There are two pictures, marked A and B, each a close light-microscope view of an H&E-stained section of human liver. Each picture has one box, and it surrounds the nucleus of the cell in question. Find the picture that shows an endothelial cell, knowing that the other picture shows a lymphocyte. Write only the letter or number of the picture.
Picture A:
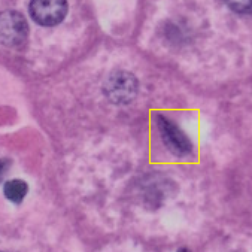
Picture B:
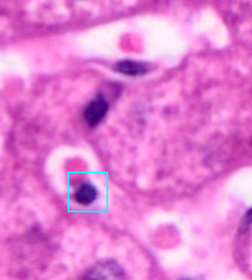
A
